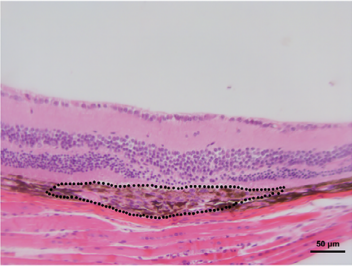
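A section of retina lies above an outlined lesion that sits beneath the outer retina, made of a dense, irregular mass of cells mixed with dark brown pigment. Over the lesion the outer nuclear layer is thinned and its lower border uneven, and the regular pigmented band seen beneath a normal retina is broken up.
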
